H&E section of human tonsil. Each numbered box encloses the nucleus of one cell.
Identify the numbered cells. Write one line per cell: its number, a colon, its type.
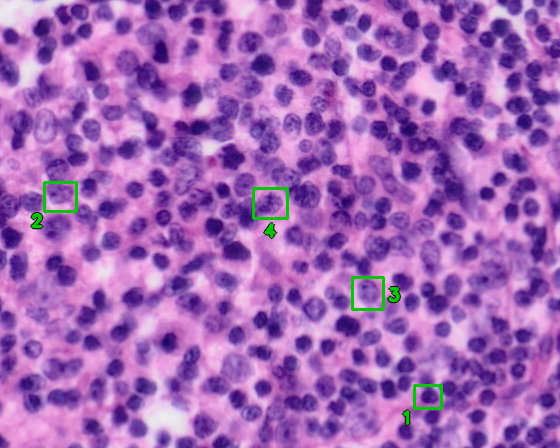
1: small lymphocyte
2: proliferating B cell
3: proliferating B cell
4: proliferating B cell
